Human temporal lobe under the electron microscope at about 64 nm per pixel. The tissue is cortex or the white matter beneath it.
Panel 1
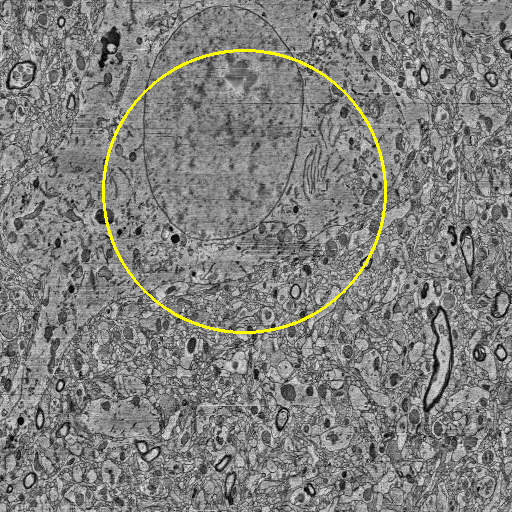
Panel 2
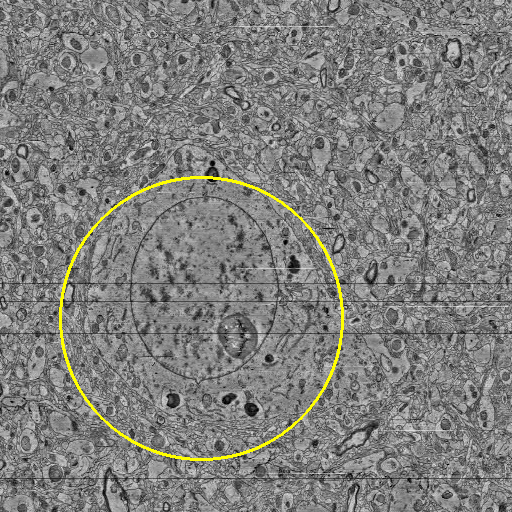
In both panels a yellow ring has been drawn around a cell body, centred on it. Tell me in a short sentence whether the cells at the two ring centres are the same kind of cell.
Yes, they are the same kind of cell.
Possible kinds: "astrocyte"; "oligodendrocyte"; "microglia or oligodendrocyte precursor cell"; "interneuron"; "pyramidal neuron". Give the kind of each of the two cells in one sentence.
Both rings mark a pyramidal neuron, one in each picture.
